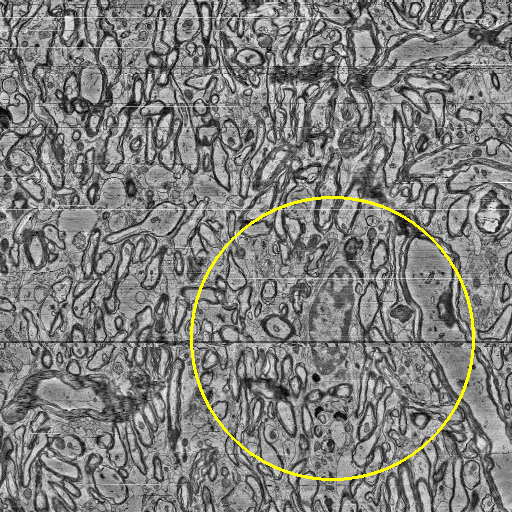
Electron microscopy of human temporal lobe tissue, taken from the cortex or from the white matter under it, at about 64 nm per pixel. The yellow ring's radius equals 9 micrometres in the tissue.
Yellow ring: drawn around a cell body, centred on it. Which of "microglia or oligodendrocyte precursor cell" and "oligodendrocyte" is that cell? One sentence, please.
That cell body is from a microglial cell or oligodendrocyte precursor cell.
